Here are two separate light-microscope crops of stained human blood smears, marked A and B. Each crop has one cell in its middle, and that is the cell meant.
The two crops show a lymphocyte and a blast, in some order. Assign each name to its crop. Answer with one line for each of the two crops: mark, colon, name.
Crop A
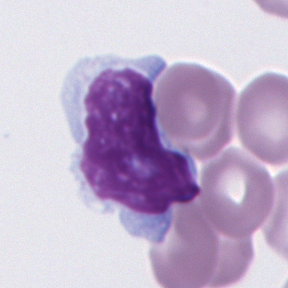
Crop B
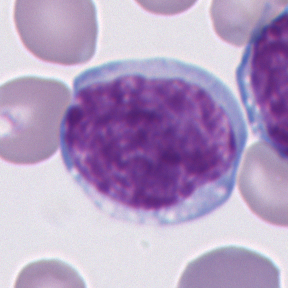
A: lymphocyte
B: blast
